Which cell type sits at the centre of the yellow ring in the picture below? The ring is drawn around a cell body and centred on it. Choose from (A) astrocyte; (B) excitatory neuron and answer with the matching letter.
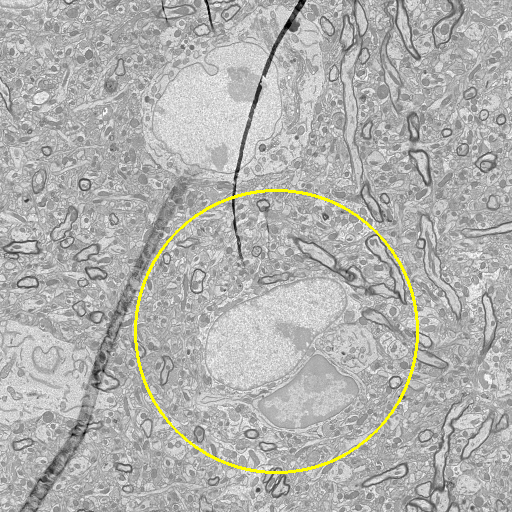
A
